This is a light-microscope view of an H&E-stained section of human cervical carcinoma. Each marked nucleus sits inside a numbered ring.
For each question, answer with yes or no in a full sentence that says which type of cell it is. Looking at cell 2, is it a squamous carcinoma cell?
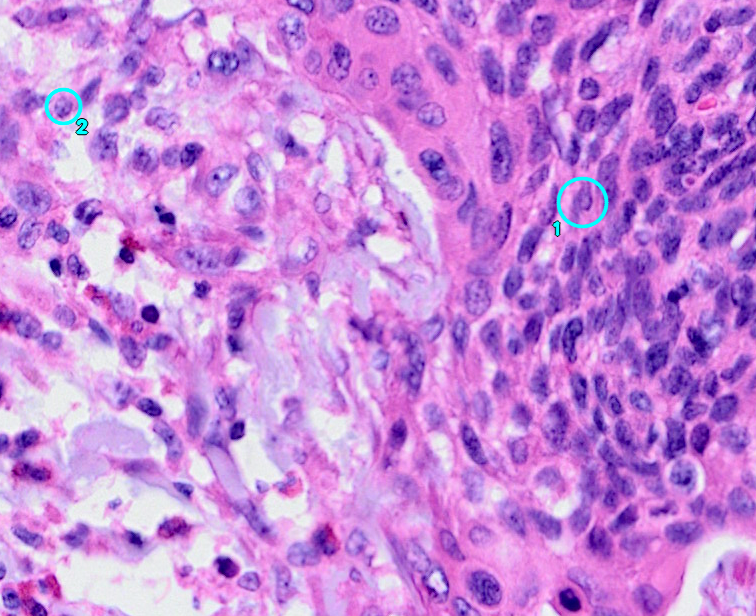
No, a squamous carcinoma cell is not what cell 2 is; it is a macrophage or monocyte.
